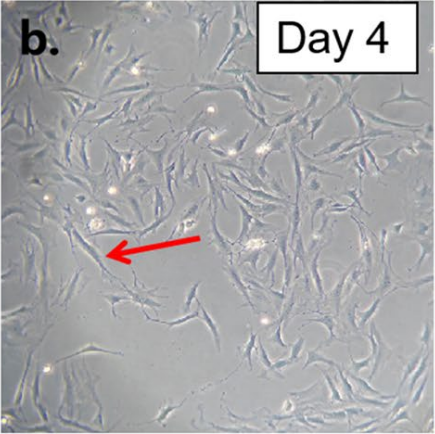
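Flat, adherent cells spread over the dish, most of them spindle-shaped or with two to three slender processes, so that some look triangular or star-like. They form an irregular network, touching one another at their tips and sides, with open patches of empty background between groups. A few small, round, bright refractile cells lie scattered on top of or between the spread cells.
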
